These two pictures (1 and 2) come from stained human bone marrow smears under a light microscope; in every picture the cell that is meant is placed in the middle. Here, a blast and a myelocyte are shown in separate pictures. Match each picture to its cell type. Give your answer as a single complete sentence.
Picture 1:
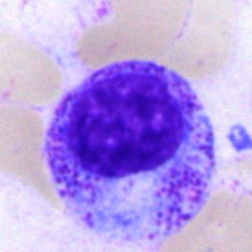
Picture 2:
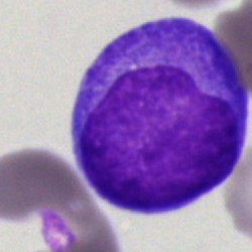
Picture 1 is of a myelocyte, and picture 2 is of a blast.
